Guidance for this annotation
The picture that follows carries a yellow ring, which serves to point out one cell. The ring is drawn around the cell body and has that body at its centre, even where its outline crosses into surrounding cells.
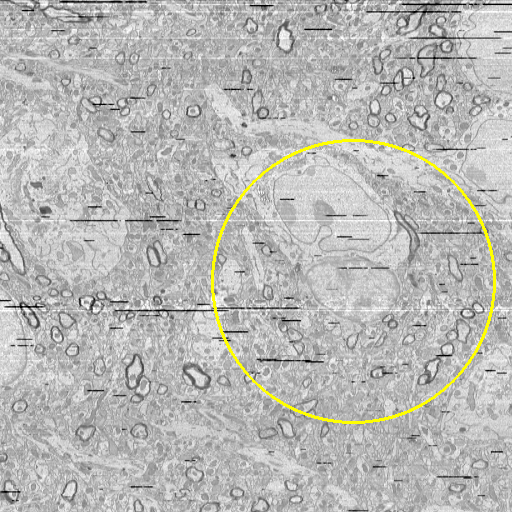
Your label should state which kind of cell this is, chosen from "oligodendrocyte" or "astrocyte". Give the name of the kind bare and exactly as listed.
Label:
oligodendrocyte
